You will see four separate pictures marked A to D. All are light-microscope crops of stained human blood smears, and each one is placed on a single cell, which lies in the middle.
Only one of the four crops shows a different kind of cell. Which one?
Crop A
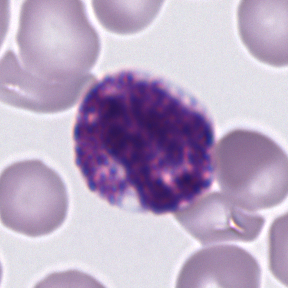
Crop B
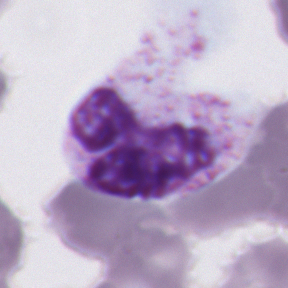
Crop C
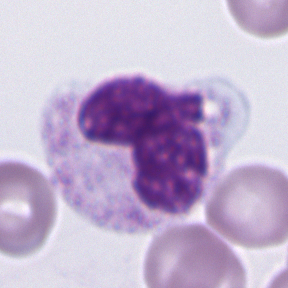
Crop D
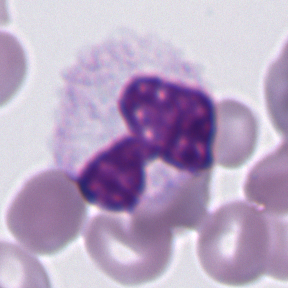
A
